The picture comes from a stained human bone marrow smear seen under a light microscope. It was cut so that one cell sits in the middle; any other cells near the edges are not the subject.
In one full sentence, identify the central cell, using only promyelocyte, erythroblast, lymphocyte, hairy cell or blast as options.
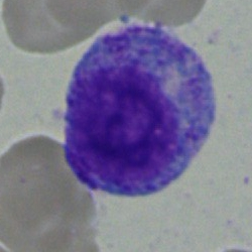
The cell at the middle of the frame should be recorded as a promyelocyte.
